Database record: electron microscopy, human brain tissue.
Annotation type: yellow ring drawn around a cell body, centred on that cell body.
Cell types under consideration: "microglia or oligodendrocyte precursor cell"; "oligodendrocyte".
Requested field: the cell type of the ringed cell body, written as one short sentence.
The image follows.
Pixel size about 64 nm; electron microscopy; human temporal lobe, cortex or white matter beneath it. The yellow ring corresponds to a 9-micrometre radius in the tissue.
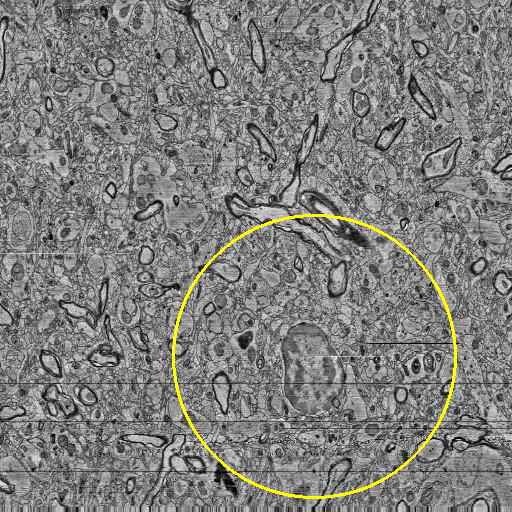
The ringed cell body represents a microglial cell or oligodendrocyte precursor cell.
